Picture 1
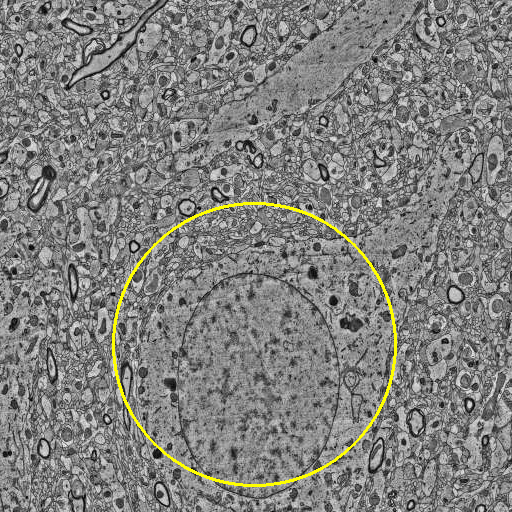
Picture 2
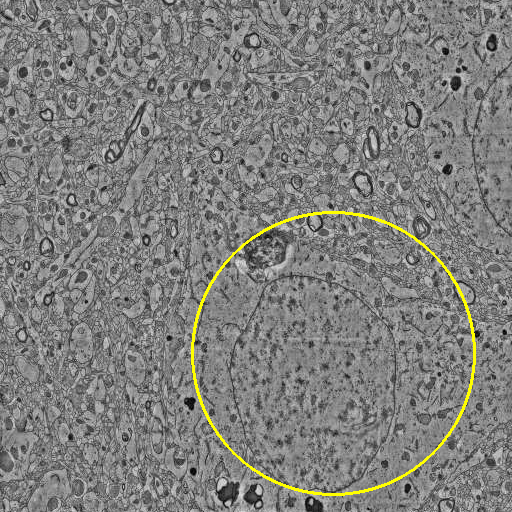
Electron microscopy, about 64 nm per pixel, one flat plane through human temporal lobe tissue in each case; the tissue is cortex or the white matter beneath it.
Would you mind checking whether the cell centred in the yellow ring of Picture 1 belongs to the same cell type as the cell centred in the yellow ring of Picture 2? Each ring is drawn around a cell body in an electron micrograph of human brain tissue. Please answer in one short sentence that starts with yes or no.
Yes, both cells are of the same type.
